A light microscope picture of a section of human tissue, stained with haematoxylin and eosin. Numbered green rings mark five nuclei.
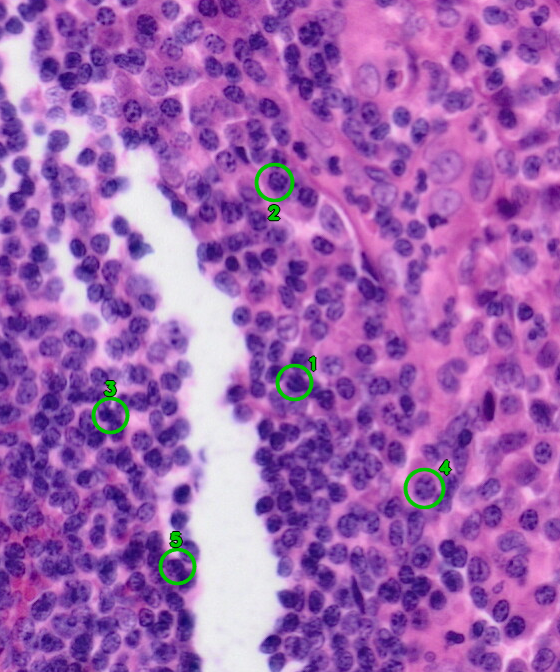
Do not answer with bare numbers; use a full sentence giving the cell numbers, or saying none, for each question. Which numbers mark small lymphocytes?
The numbers 1, 3 and 5 refer to cells that are small lymphocytes.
